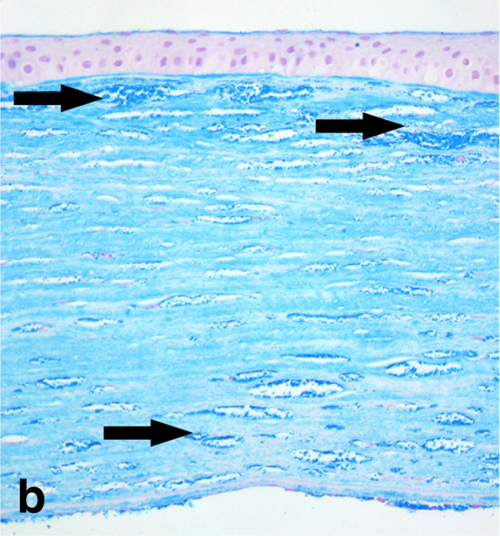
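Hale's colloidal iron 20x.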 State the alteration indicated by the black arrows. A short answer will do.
Granular deposits.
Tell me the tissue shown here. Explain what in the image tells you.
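A layered epithelium of several cell rows sits on top. Below it lies a thick, avascular stroma of parallel lamellae. A thin single layer lines the bottom surface. The answer: Cornea.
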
